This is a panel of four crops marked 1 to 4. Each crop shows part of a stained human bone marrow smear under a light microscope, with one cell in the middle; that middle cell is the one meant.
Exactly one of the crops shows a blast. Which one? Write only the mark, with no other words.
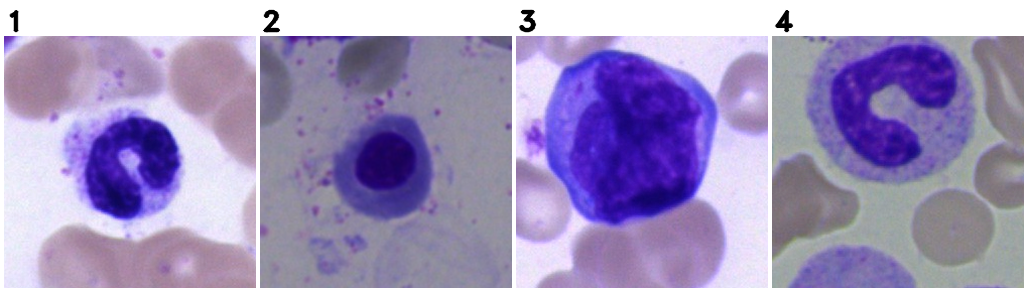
3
